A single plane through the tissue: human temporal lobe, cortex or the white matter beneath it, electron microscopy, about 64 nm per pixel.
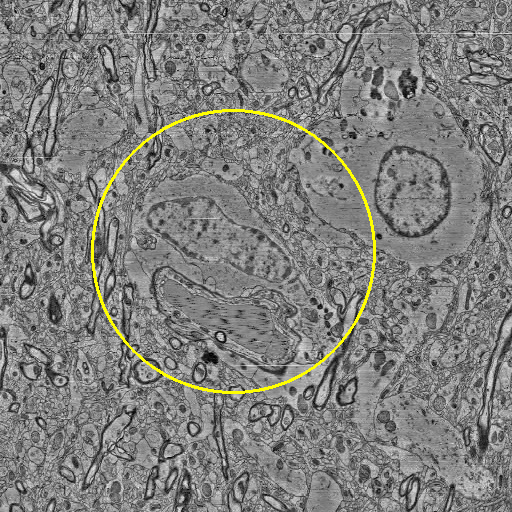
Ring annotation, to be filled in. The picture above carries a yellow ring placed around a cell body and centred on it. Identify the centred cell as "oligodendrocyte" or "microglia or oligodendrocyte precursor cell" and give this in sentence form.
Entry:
The cell in the middle of the ring is a microglial cell or oligodendrocyte precursor cell.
